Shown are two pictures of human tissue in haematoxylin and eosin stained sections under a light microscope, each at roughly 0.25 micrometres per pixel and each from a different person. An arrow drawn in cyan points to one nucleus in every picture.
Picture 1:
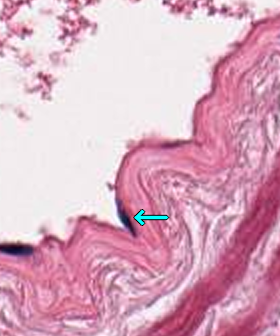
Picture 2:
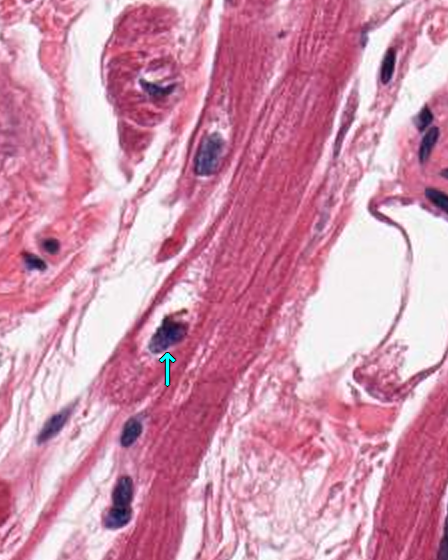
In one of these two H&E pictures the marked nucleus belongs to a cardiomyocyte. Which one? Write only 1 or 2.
2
